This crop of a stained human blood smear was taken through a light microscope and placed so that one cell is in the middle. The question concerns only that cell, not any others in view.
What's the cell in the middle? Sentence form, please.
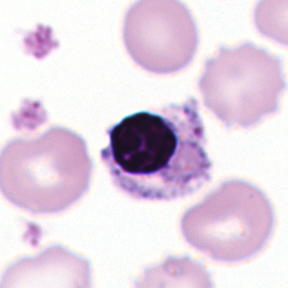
By classification, the middle cell of this crop is a normoblast.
